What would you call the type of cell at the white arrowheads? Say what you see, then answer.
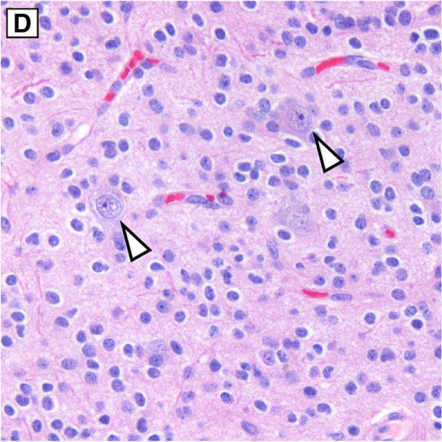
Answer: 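The marked cells are large with ample cytoplasm and a round nucleus with a prominent nucleolus. They lie among many small round nuclei.
Entrapped non-neoplastic neurons.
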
